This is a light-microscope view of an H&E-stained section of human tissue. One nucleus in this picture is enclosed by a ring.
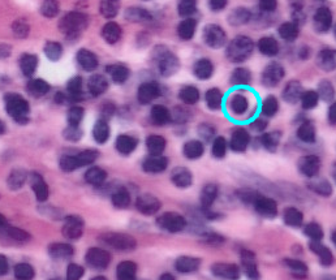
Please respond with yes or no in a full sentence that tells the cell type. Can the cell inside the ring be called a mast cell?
No, the cell inside the ring is typed as a small lymphocyte rather than as a mast cell.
